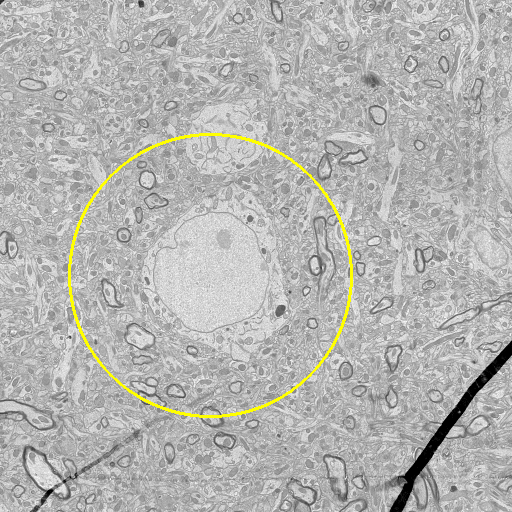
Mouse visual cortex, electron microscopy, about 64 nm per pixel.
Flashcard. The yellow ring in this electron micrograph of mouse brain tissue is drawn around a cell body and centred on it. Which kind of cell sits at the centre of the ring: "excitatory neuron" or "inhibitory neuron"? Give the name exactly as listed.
excitatory neuron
